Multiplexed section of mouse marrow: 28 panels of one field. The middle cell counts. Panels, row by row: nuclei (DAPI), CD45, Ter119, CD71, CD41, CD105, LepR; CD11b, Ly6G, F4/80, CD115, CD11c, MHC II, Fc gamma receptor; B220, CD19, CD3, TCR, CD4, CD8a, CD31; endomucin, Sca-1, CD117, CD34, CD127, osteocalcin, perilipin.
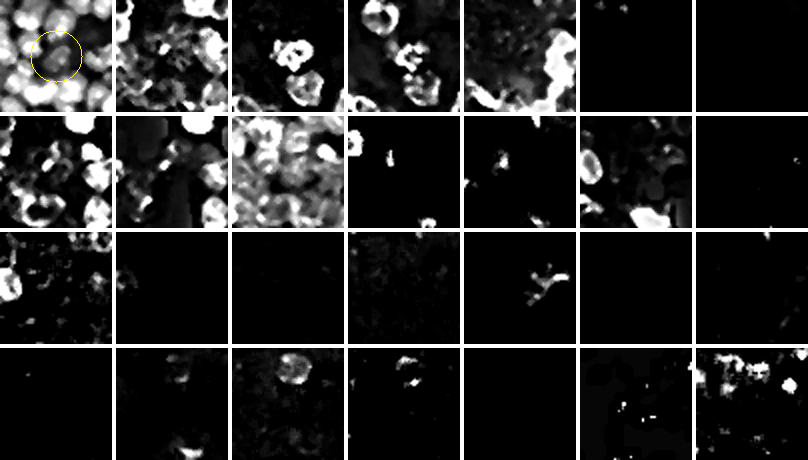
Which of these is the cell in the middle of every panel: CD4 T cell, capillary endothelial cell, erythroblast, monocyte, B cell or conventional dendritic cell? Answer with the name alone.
erythroblast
